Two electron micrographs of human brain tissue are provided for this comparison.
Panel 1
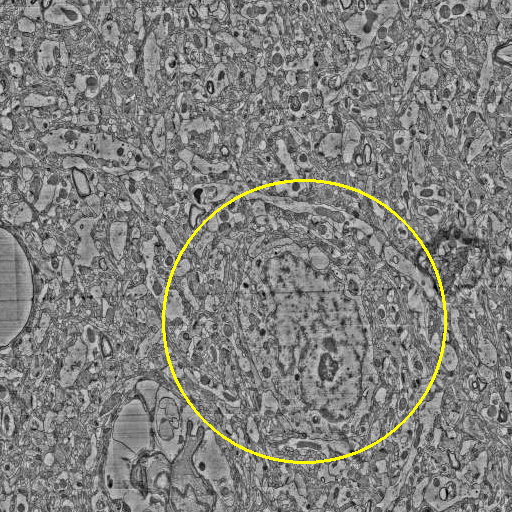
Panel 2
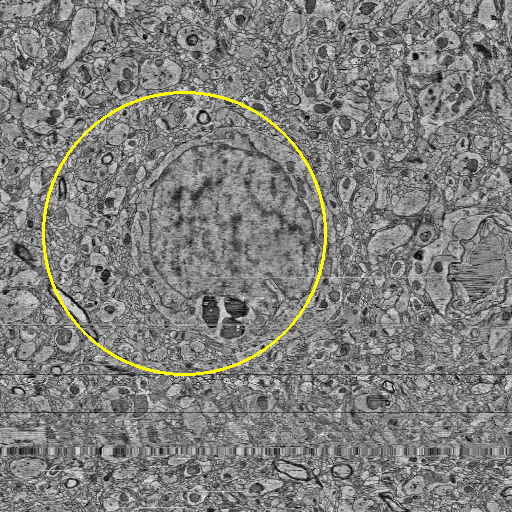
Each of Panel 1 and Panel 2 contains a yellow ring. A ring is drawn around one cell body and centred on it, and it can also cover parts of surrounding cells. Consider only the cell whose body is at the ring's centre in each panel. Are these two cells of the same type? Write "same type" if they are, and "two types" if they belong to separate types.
same type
